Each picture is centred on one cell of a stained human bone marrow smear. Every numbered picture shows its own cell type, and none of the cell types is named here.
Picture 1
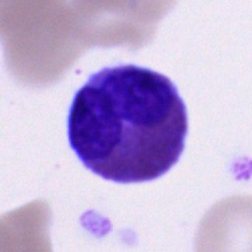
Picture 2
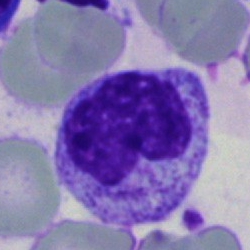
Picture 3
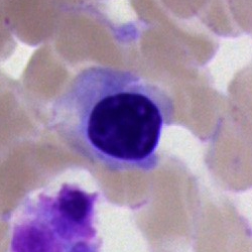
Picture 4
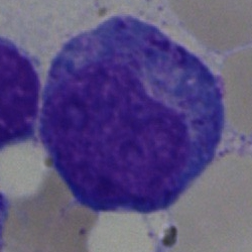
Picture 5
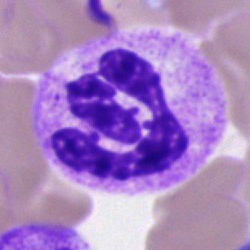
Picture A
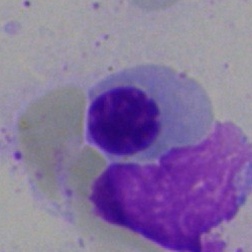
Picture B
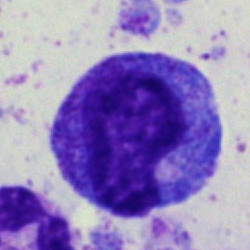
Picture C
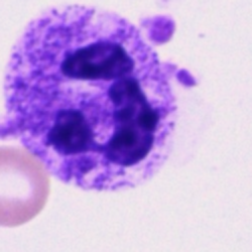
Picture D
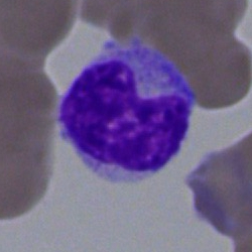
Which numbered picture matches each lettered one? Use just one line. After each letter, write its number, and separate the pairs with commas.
A 3, B 4, C 5, D 2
